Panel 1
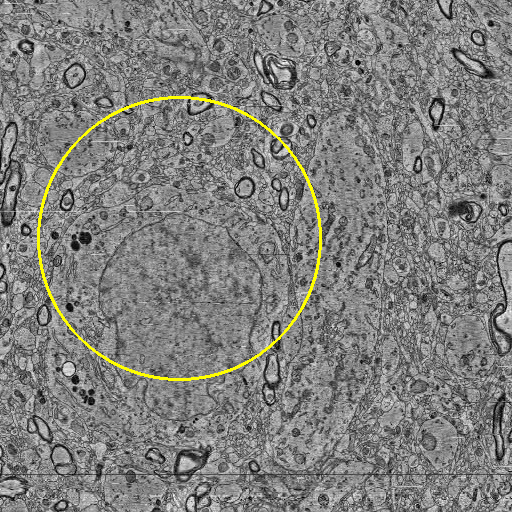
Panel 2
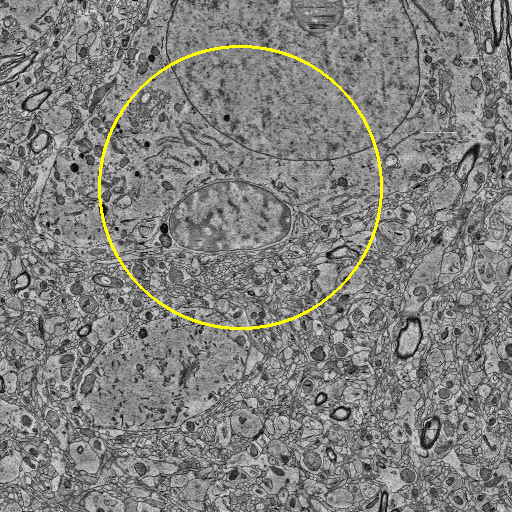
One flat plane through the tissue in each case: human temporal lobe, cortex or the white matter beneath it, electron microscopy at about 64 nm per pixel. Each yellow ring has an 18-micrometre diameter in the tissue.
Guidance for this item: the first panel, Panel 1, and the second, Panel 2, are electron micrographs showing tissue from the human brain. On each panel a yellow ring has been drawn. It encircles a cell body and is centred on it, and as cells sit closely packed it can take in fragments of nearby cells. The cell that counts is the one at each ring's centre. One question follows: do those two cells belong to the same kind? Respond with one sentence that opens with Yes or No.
No, the cells at the ring centres in Panel 1 and Panel 2 are of two kinds.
